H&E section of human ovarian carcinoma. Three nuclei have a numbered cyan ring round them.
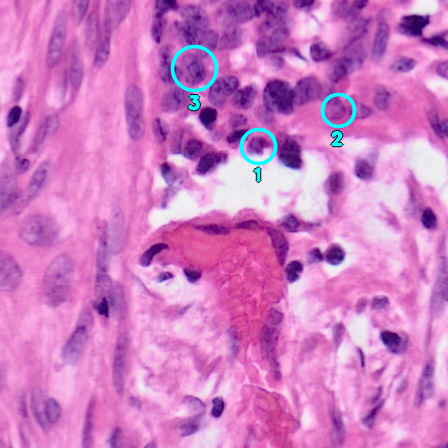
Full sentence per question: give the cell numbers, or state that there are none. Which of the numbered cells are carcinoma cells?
The numbers 1 and 3 mark cells that are carcinoma cells.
